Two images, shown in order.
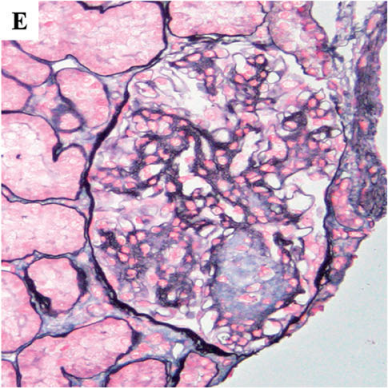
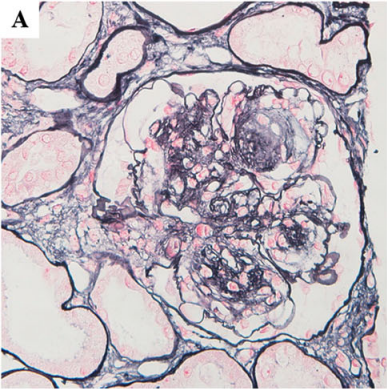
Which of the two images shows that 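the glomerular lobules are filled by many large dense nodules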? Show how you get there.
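Second image: several lobules centred by large dark rounded nodules.
Answer: the second image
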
